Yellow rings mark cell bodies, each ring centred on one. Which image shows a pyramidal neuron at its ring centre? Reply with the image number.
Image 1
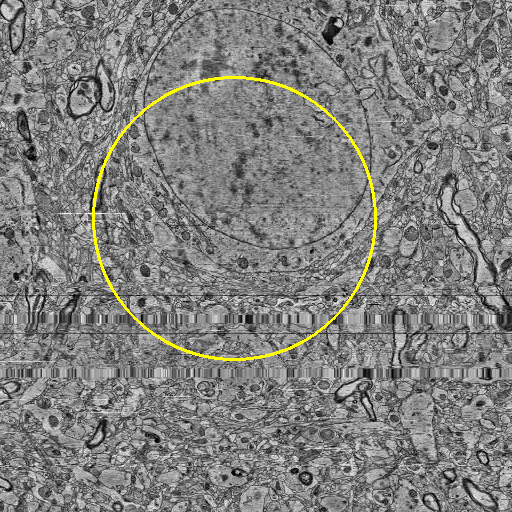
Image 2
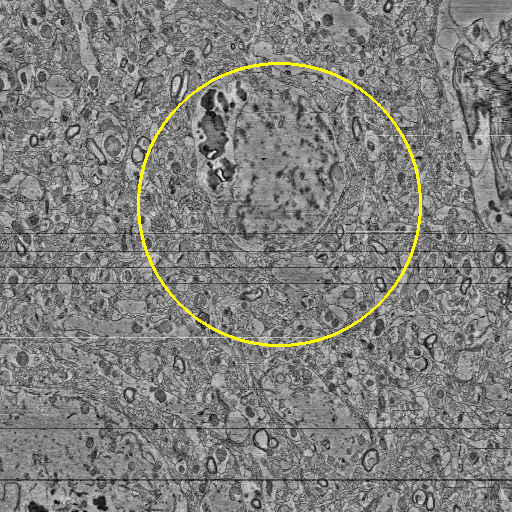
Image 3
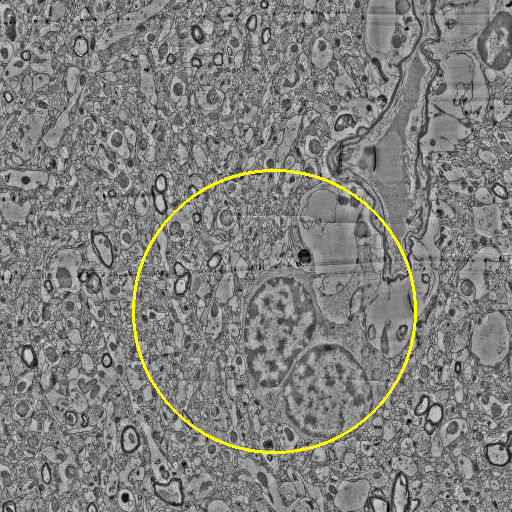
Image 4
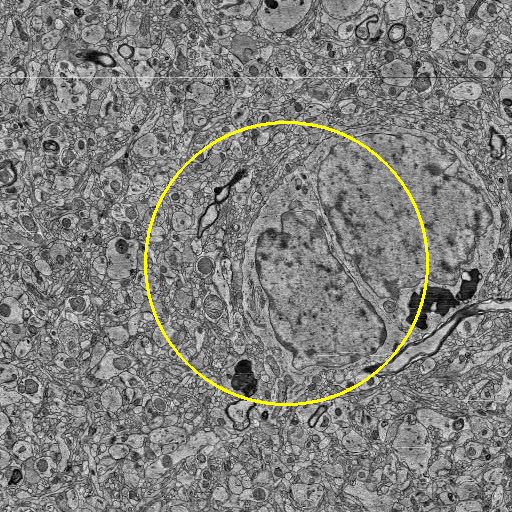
1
